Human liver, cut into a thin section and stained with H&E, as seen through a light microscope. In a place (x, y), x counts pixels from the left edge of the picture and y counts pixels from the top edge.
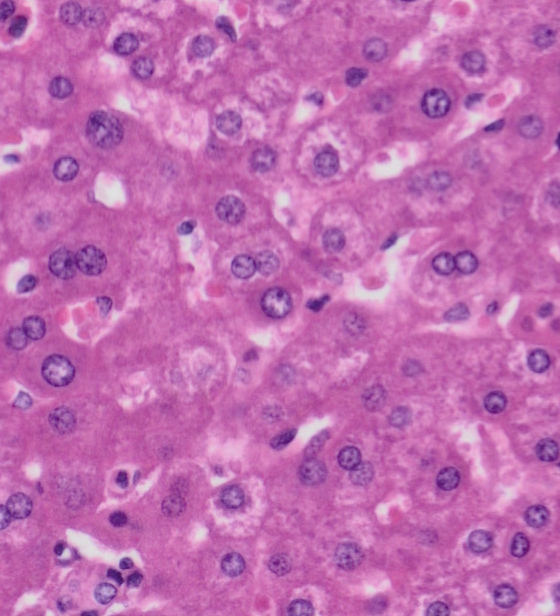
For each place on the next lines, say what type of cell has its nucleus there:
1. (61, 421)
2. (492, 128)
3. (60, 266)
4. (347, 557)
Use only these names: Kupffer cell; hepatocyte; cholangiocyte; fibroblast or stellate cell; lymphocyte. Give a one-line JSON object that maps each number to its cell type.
{"1": "hepatocyte", "2": "fibroblast or stellate cell", "3": "hepatocyte", "4": "hepatocyte"}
